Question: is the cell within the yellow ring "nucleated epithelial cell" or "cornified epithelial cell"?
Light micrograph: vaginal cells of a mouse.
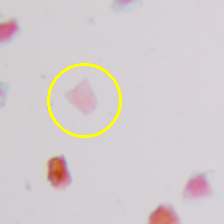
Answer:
cornified epithelial cell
